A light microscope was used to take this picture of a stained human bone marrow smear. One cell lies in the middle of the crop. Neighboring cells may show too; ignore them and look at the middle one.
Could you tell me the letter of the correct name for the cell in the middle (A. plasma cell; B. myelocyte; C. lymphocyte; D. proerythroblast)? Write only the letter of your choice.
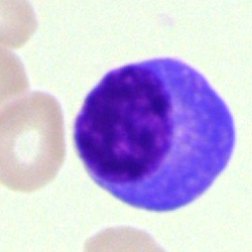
A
